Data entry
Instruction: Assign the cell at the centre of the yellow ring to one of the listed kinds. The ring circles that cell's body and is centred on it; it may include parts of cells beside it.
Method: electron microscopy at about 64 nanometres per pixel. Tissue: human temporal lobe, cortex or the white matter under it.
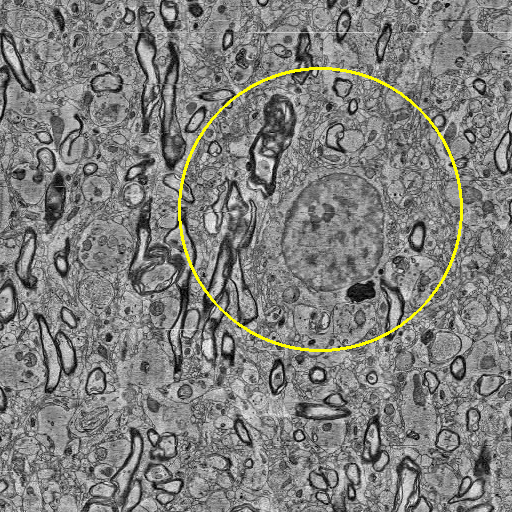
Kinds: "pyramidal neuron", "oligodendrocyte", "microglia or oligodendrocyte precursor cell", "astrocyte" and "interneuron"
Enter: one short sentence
The centre of the ring falls on an oligodendrocyte.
